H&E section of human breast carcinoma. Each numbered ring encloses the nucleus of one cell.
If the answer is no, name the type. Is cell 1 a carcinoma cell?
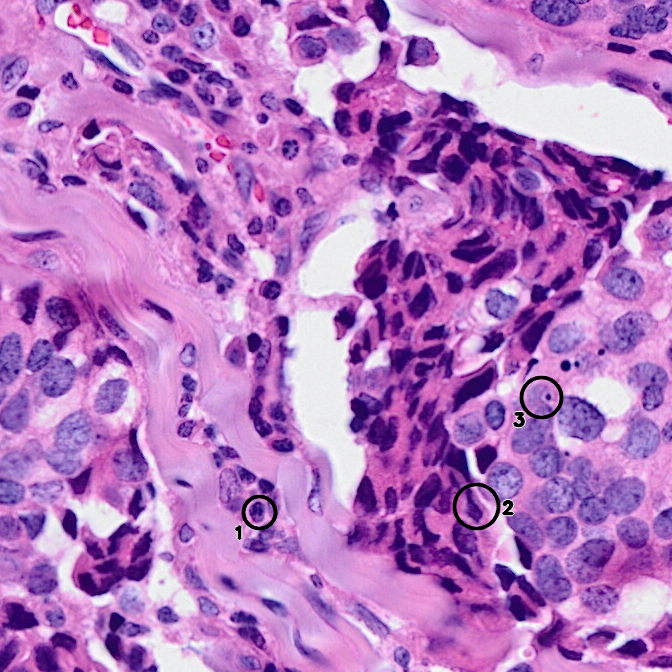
No, it is a lymphocyte.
